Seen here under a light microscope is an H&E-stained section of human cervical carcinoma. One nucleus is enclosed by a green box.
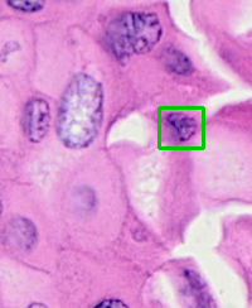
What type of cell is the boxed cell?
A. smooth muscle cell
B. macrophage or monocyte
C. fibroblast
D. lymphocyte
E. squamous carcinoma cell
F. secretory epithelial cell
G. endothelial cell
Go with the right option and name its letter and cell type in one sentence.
In keeping with option E, the boxed cell is a squamous carcinoma cell.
